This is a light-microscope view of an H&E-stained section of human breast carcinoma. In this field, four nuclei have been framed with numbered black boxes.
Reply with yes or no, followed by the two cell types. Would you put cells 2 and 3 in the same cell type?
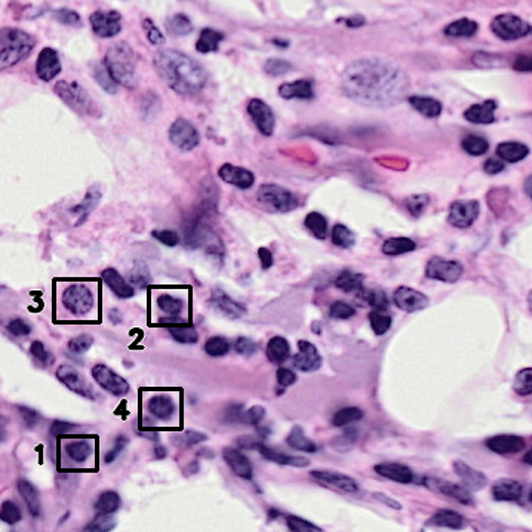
No, cell 2 is a lymphocyte and cell 3 is a mast cell.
